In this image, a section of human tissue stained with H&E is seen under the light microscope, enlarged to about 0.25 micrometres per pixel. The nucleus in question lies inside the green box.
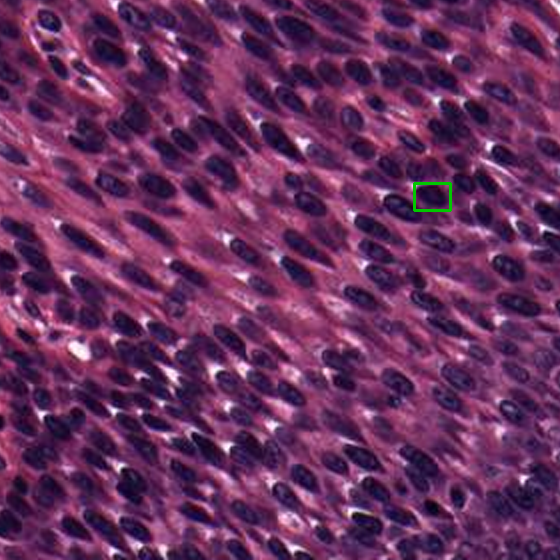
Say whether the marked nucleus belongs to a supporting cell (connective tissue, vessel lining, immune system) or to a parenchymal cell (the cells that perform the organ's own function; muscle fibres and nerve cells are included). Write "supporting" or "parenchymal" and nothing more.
parenchymal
